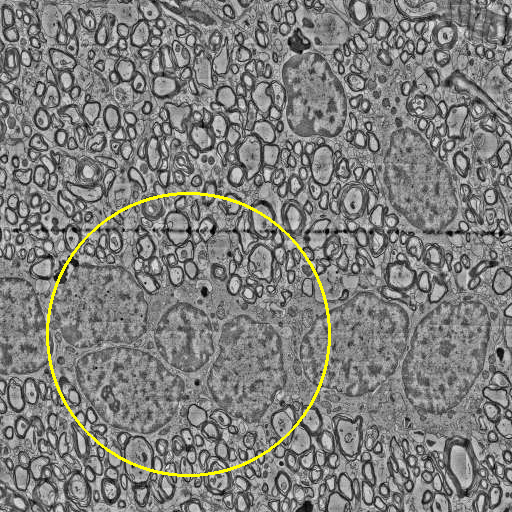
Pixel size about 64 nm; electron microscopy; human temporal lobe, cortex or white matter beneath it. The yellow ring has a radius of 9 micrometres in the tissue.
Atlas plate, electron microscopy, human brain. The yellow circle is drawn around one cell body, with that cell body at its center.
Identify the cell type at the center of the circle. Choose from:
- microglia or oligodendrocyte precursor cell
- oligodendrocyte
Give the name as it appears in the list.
oligodendrocyte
